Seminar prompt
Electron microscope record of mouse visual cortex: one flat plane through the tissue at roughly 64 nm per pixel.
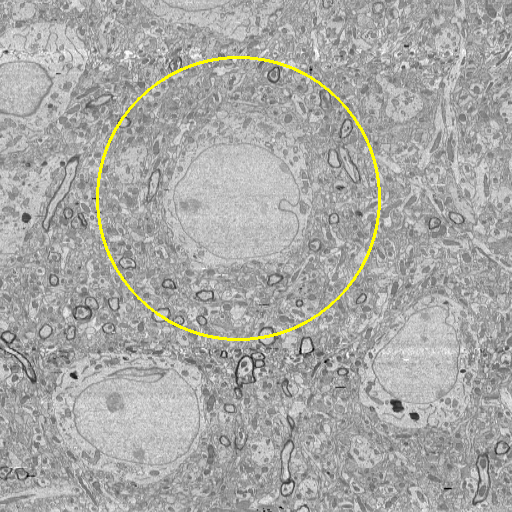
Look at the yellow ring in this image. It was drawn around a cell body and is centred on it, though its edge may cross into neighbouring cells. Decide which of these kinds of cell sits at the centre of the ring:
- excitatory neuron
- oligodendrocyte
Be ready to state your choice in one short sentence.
The kind of cell at the ring's centre is an excitatory neuron.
